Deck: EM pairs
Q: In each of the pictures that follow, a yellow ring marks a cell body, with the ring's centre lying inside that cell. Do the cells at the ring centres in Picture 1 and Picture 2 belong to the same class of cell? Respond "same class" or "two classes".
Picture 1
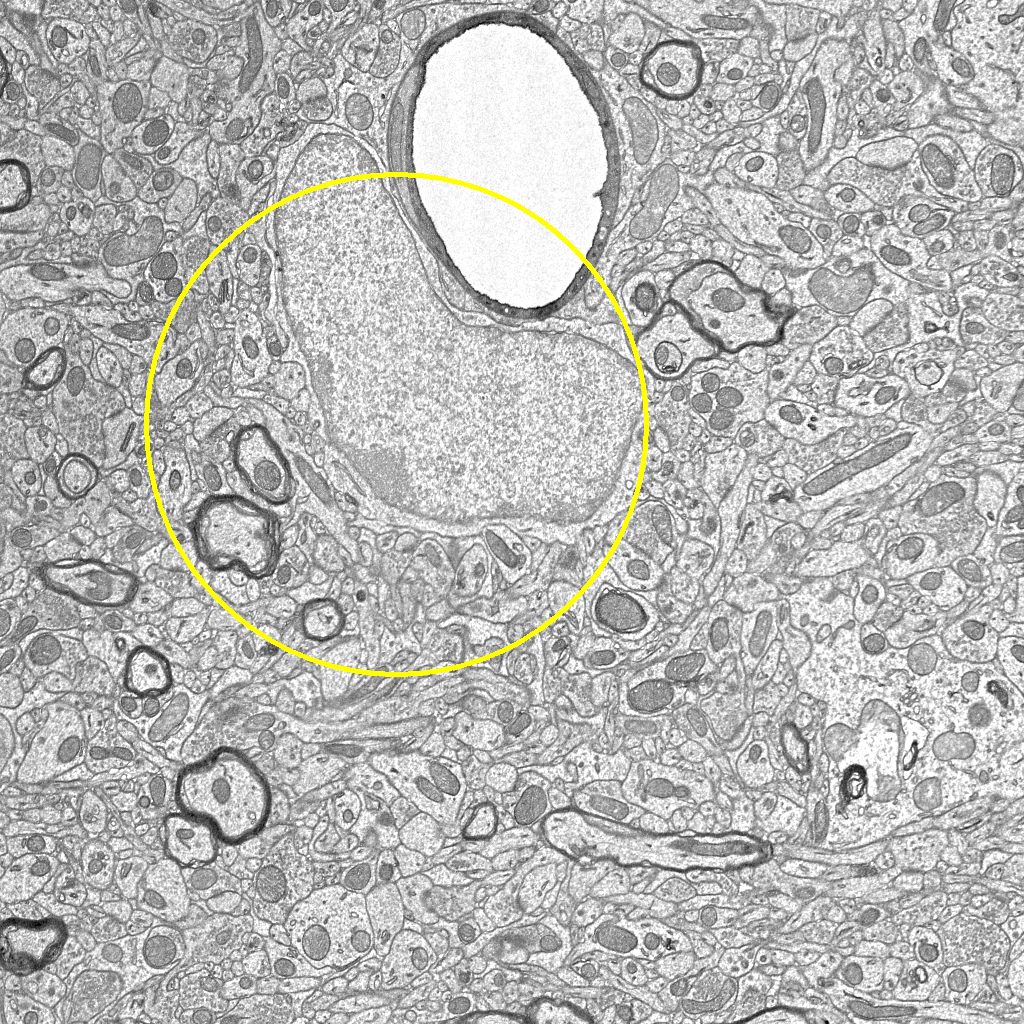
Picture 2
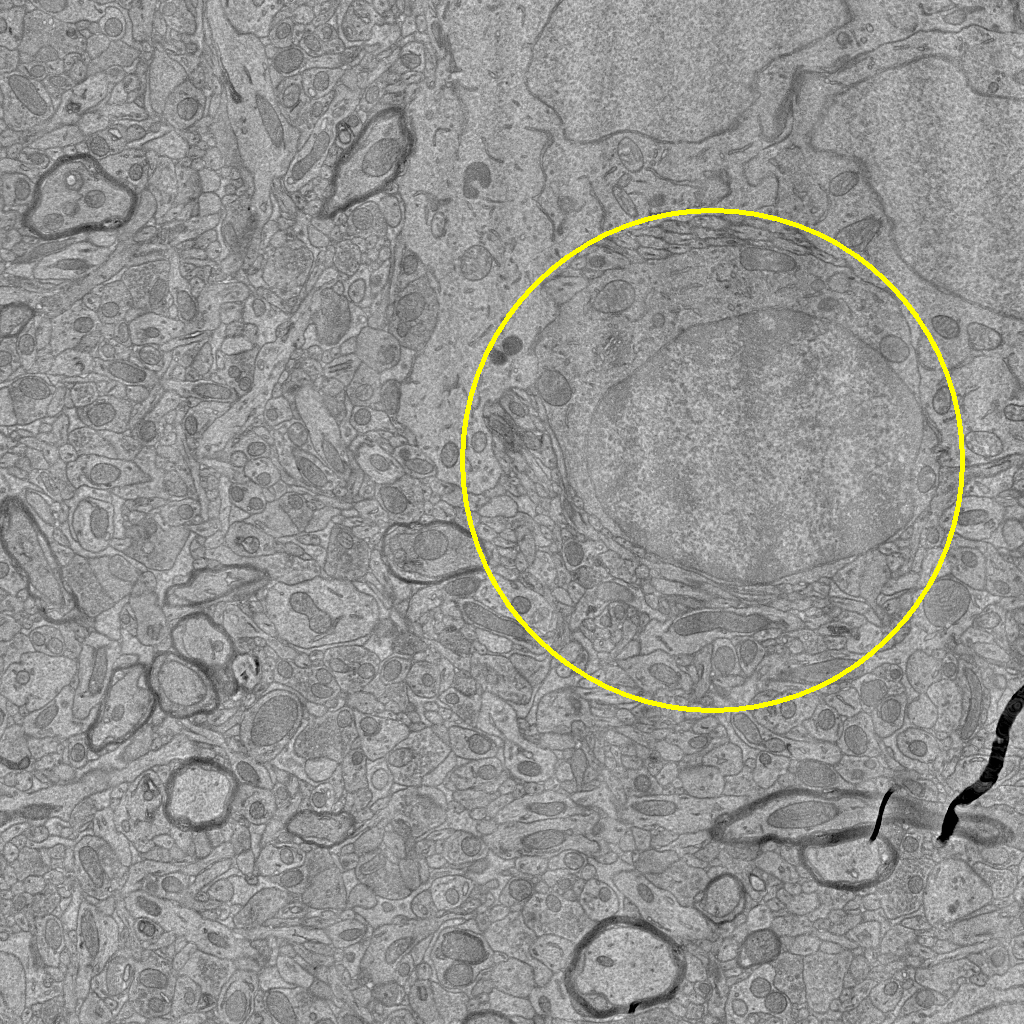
two classes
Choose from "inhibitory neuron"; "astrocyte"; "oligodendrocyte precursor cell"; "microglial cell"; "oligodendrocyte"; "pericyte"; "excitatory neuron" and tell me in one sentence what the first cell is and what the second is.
In the first picture we have an oligodendrocyte precursor cell, and in the second, an oligodendrocyte.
